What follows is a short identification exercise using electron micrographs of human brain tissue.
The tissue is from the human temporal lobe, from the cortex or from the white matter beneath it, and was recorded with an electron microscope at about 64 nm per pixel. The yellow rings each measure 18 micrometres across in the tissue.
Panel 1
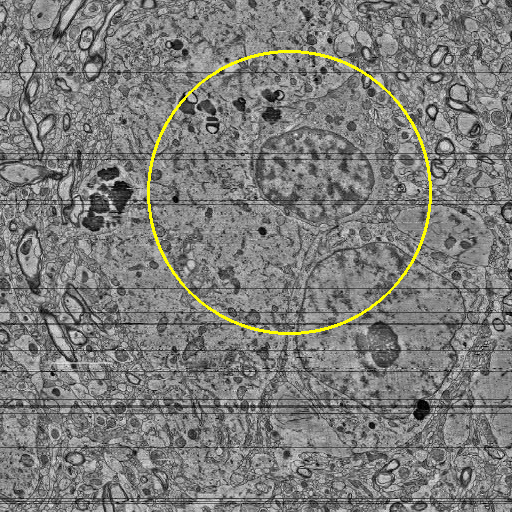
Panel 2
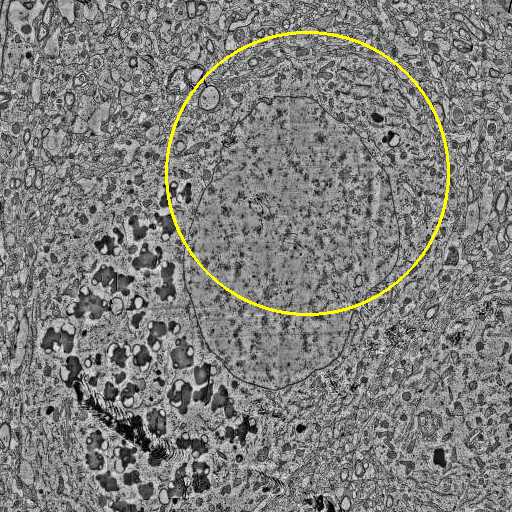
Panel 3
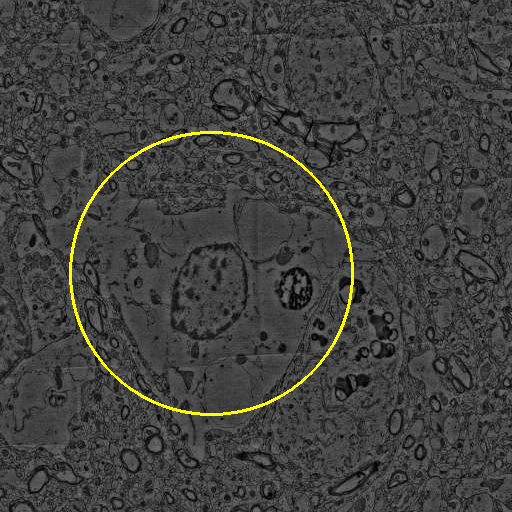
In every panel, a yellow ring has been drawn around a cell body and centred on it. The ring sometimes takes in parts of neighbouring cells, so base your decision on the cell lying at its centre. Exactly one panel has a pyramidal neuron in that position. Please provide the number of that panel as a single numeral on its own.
2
